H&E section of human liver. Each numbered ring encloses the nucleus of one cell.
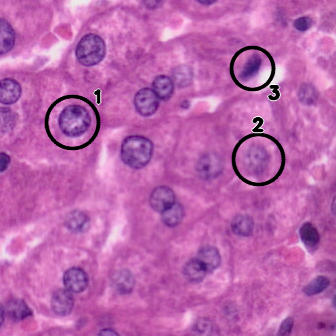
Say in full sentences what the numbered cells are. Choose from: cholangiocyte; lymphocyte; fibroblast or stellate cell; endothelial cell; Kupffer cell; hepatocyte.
Cell 1 is a hepatocyte, cell 2 is a hepatocyte and cell 3 is a fibroblast or stellate cell.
